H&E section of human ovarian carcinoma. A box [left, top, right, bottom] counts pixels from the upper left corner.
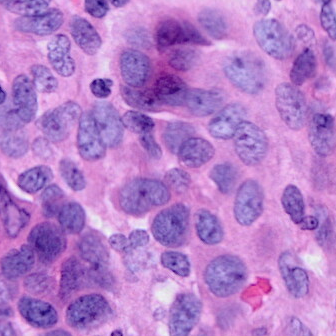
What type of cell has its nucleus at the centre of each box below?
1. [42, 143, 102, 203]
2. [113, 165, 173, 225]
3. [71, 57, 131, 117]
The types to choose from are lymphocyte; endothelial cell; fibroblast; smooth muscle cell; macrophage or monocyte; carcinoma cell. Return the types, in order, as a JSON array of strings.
["macrophage or monocyte", "carcinoma cell", "lymphocyte"]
